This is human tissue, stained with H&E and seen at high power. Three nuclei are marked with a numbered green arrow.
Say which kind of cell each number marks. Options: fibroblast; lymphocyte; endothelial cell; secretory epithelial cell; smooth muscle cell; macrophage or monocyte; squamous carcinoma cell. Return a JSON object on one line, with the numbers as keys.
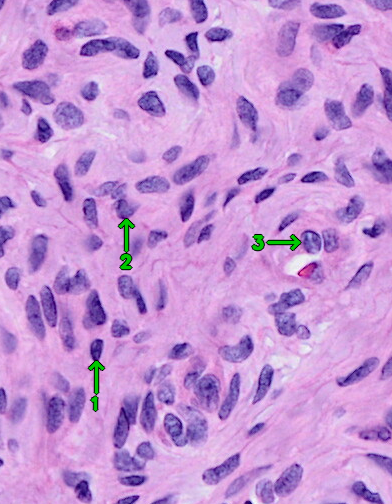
{"1": "fibroblast", "2": "fibroblast", "3": "endothelial cell"}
